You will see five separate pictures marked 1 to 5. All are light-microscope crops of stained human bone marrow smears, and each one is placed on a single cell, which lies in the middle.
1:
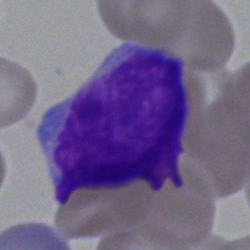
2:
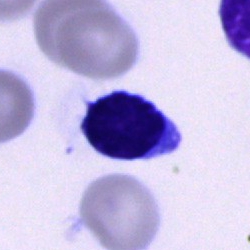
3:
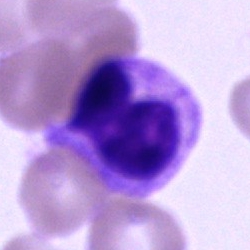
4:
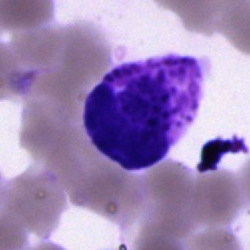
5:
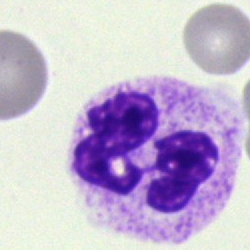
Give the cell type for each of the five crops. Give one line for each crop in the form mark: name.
1: blast
2: lymphocyte
3: metamyelocyte
4: basophil
5: segmented neutrophil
